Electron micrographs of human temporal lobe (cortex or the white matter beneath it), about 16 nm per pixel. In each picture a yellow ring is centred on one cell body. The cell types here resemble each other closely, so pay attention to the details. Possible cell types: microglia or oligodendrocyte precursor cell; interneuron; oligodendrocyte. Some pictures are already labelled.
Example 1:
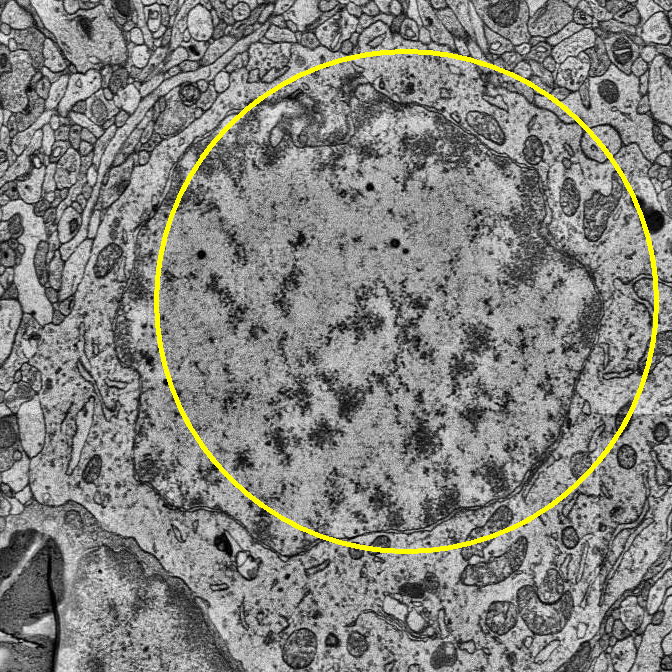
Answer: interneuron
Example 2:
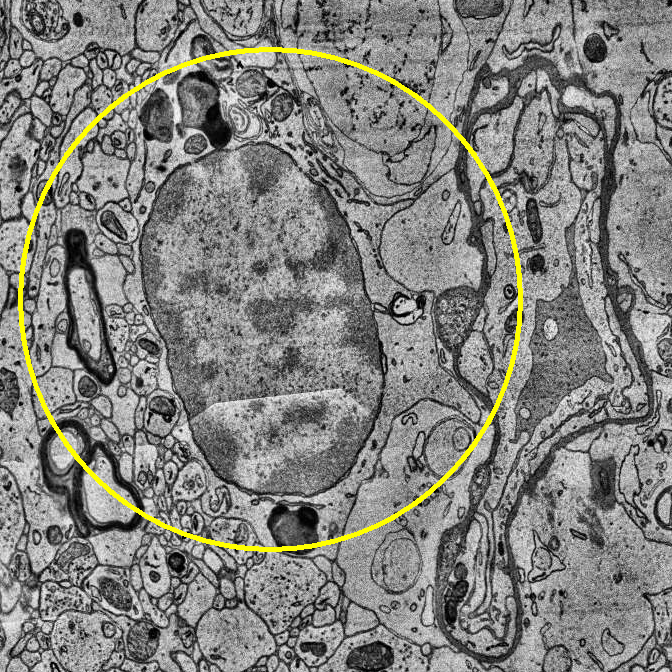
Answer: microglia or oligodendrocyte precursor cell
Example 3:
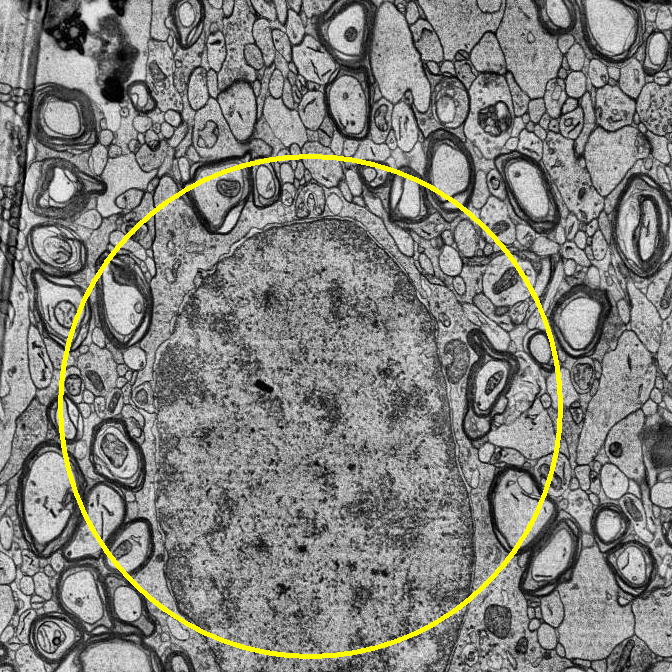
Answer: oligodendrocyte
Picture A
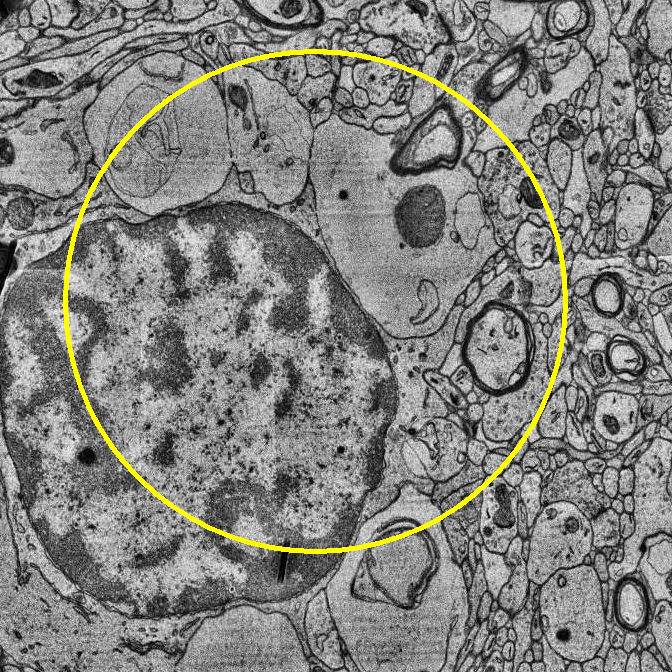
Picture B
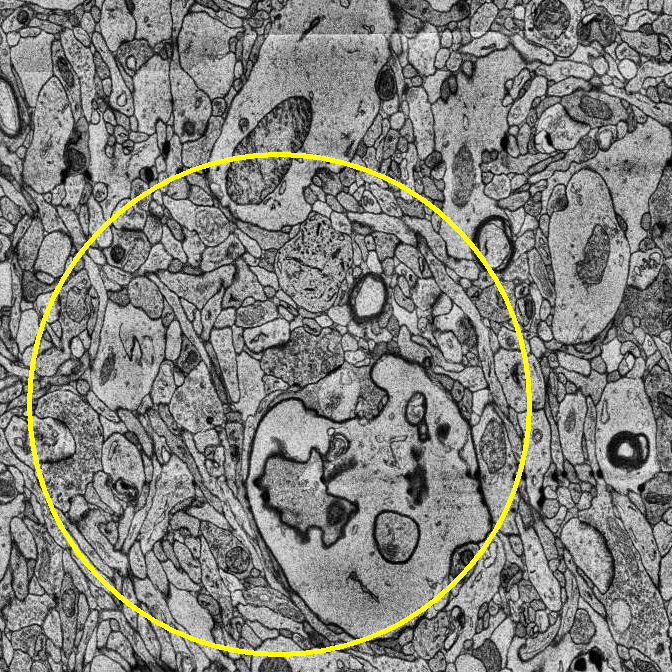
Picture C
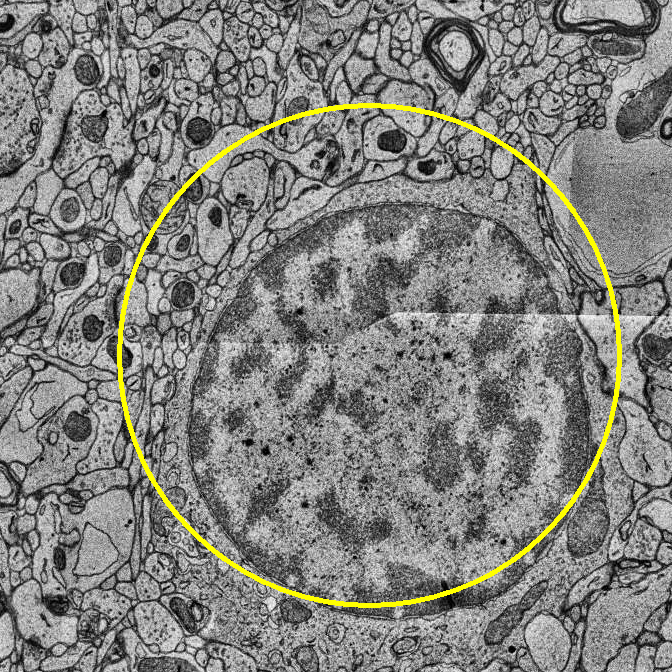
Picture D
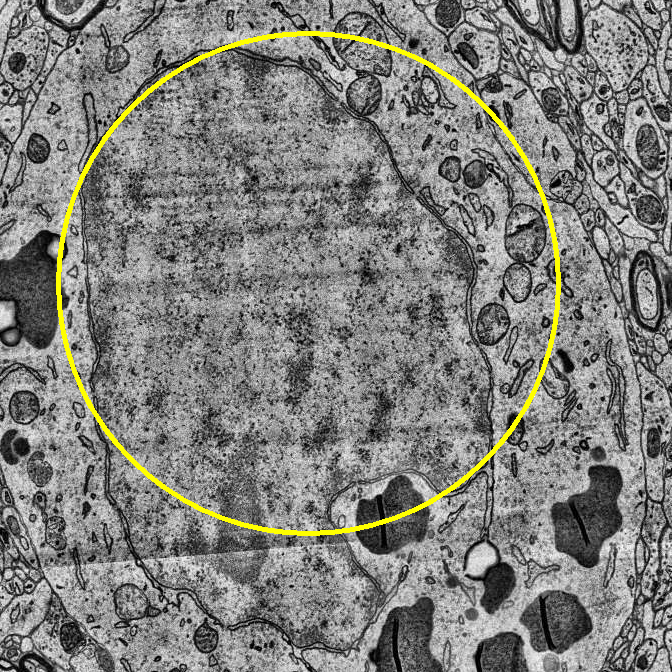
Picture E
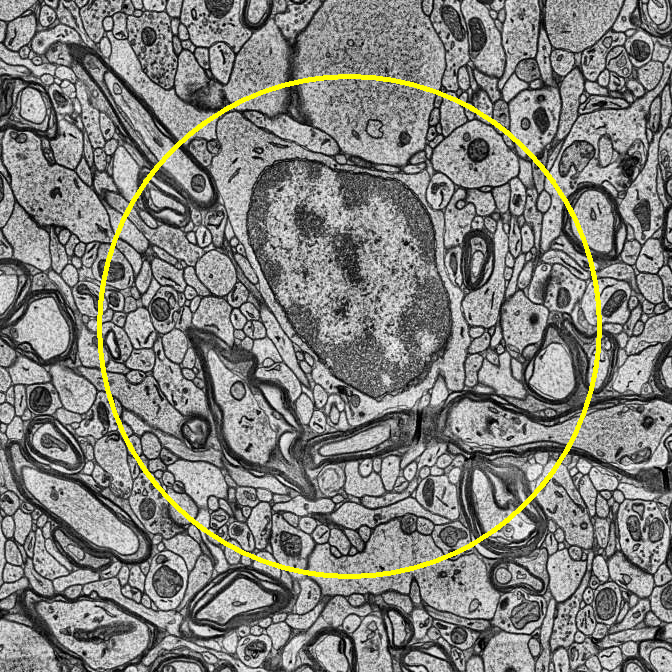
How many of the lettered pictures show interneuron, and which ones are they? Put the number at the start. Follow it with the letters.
Count: 1 (D)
